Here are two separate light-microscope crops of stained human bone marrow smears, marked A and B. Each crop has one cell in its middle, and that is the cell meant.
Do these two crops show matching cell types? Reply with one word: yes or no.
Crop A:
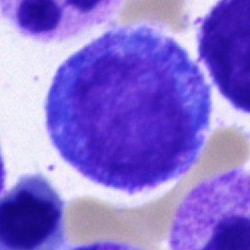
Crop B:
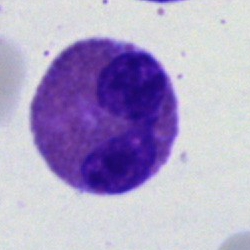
no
